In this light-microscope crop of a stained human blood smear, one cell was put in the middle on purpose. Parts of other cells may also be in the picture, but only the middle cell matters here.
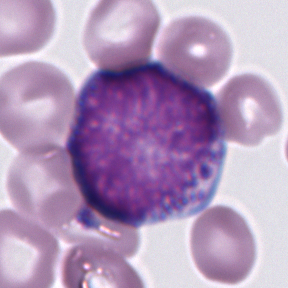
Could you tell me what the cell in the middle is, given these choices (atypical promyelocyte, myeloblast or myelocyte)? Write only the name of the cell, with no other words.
myeloblast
